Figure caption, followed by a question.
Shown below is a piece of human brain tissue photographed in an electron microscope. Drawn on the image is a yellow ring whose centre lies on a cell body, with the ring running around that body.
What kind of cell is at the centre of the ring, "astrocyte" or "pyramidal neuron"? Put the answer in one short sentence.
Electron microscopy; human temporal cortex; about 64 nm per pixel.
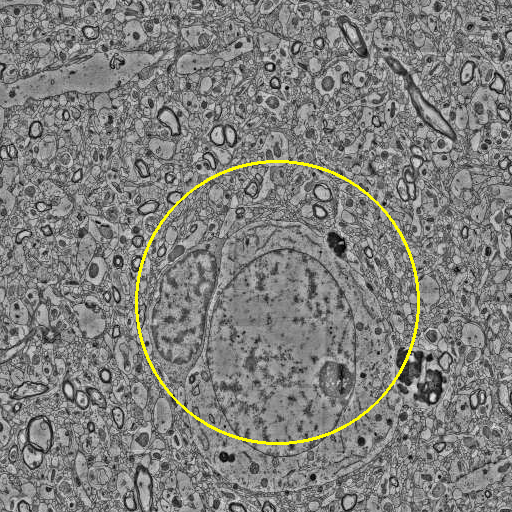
The ring marks the cell body of a pyramidal neuron.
